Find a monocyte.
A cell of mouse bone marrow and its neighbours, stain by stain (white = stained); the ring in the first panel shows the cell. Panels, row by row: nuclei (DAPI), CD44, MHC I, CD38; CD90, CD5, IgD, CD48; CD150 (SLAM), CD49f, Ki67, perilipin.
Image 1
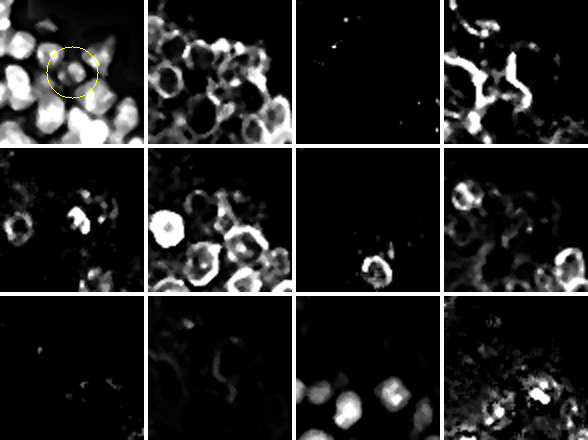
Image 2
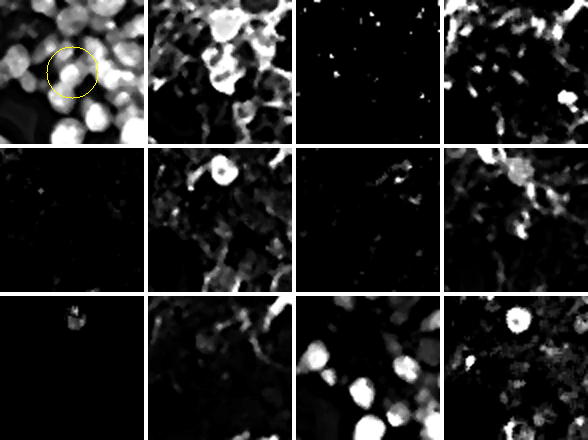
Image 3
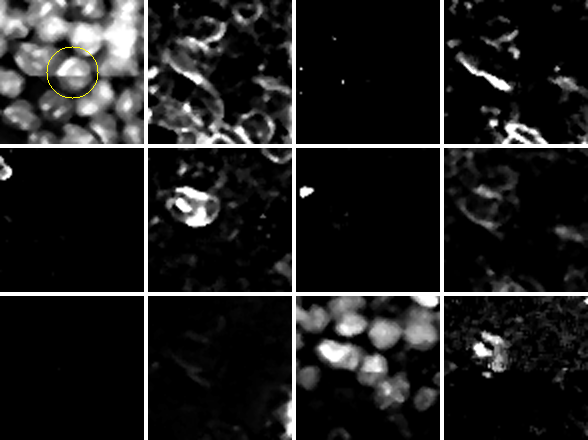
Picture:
2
